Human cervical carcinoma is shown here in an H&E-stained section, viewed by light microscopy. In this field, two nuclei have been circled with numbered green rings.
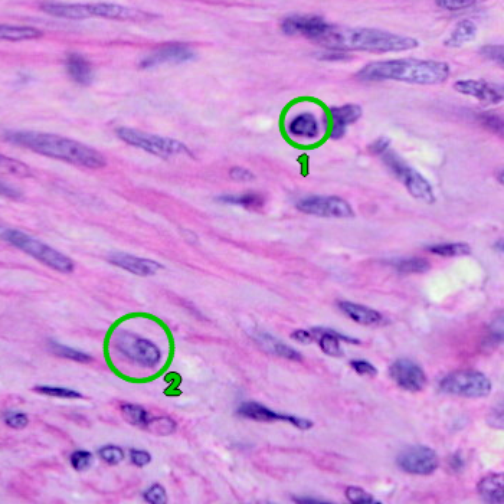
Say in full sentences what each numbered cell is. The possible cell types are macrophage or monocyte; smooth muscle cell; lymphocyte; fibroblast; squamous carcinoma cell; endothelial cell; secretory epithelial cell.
Cell 1 is a lymphocyte and cell 2 is a smooth muscle cell.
